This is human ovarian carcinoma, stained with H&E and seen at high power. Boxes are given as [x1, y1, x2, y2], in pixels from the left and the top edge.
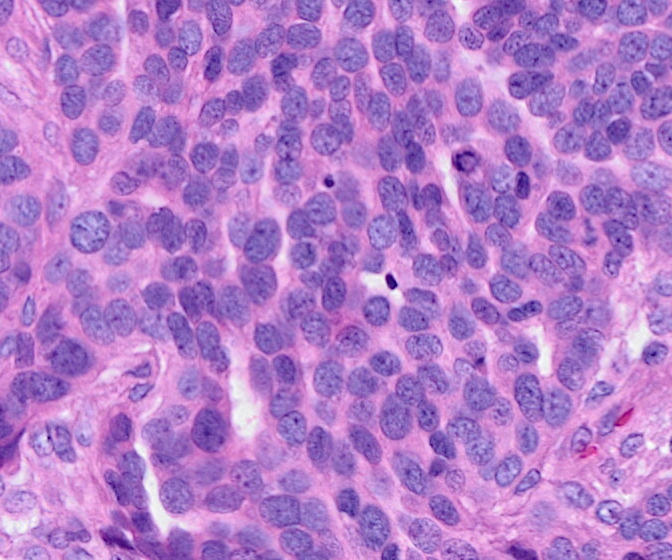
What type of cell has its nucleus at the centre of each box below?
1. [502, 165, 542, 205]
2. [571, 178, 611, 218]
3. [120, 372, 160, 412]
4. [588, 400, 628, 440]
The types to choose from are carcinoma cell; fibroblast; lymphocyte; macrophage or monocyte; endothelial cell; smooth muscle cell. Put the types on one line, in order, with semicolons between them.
carcinoma cell; carcinoma cell; fibroblast; endothelial cell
